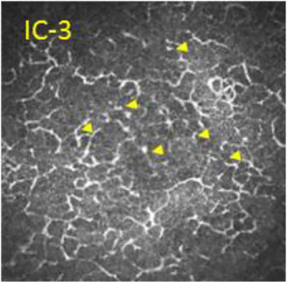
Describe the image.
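This image shows the corneal sub-basal layer crowded with dendritic cells. Bright, highly reflective cell bodies with long, branching processes are scattered densely over the whole field, and their processes touch and interlace so that they form a continuous net-like meshwork of bright lines on a dark grey granular background. Some processes curl into small loops. The cells vary from short, stubby forms to elongated ones with several branches. The density of these cells is so high that the underlying nerve fibres are hard to make out, and no clear parallel nerve bundles stand out among the bright meshwork.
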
